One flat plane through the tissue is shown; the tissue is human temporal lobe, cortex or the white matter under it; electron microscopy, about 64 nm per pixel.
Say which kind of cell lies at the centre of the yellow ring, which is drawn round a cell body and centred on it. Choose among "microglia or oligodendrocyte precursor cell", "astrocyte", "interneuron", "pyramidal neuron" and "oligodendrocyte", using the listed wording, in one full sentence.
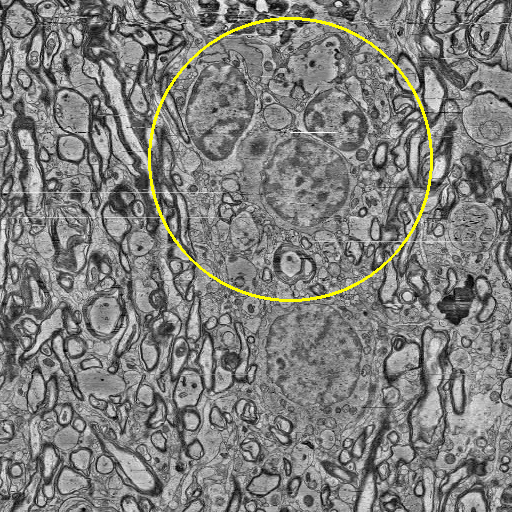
Going by the list, the cell at the yellow ring's centre is an oligodendrocyte.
